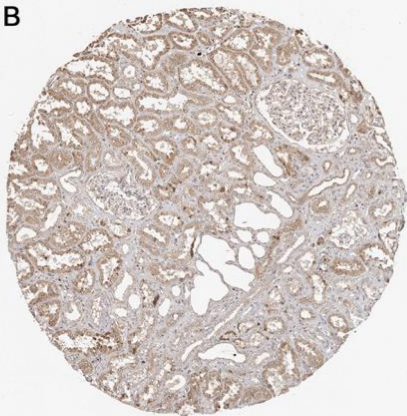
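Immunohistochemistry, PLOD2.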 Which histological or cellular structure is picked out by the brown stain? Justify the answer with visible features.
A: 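Brown stain lies mainly in the epithelium lining the tubular profiles. The round glomeruli are only faintly stained. The interstitium between tubules is pale. So: tubules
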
